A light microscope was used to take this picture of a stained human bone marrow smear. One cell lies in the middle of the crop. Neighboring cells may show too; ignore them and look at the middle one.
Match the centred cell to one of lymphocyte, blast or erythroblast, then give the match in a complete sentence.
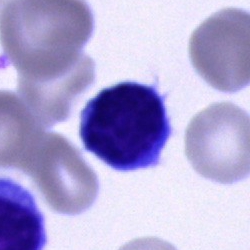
The cell in the exact centre of the crop is a lymphocyte.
